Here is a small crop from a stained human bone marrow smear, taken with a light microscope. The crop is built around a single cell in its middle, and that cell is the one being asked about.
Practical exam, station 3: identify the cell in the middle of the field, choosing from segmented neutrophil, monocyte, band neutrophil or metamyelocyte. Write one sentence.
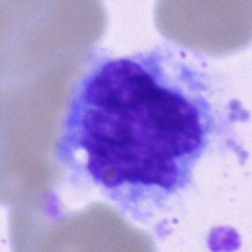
Among the cells in view, the one in the middle is a monocyte.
